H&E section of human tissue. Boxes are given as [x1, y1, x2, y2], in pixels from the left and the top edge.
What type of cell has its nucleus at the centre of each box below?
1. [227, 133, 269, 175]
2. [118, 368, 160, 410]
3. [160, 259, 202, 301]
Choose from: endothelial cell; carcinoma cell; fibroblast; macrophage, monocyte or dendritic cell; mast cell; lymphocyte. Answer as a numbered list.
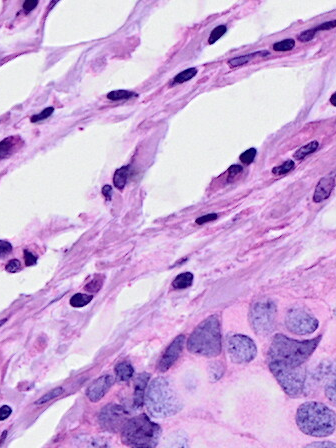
1. lymphocyte
2. carcinoma cell
3. lymphocyte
